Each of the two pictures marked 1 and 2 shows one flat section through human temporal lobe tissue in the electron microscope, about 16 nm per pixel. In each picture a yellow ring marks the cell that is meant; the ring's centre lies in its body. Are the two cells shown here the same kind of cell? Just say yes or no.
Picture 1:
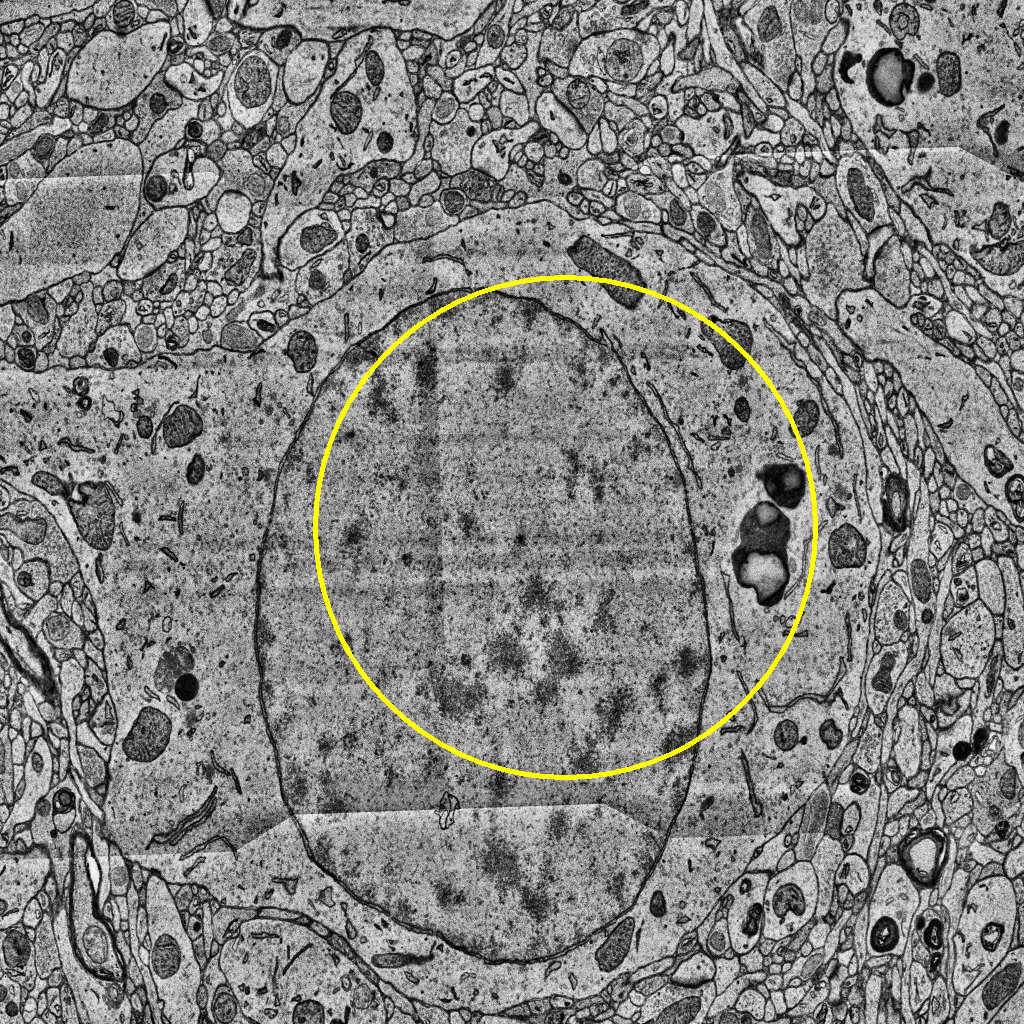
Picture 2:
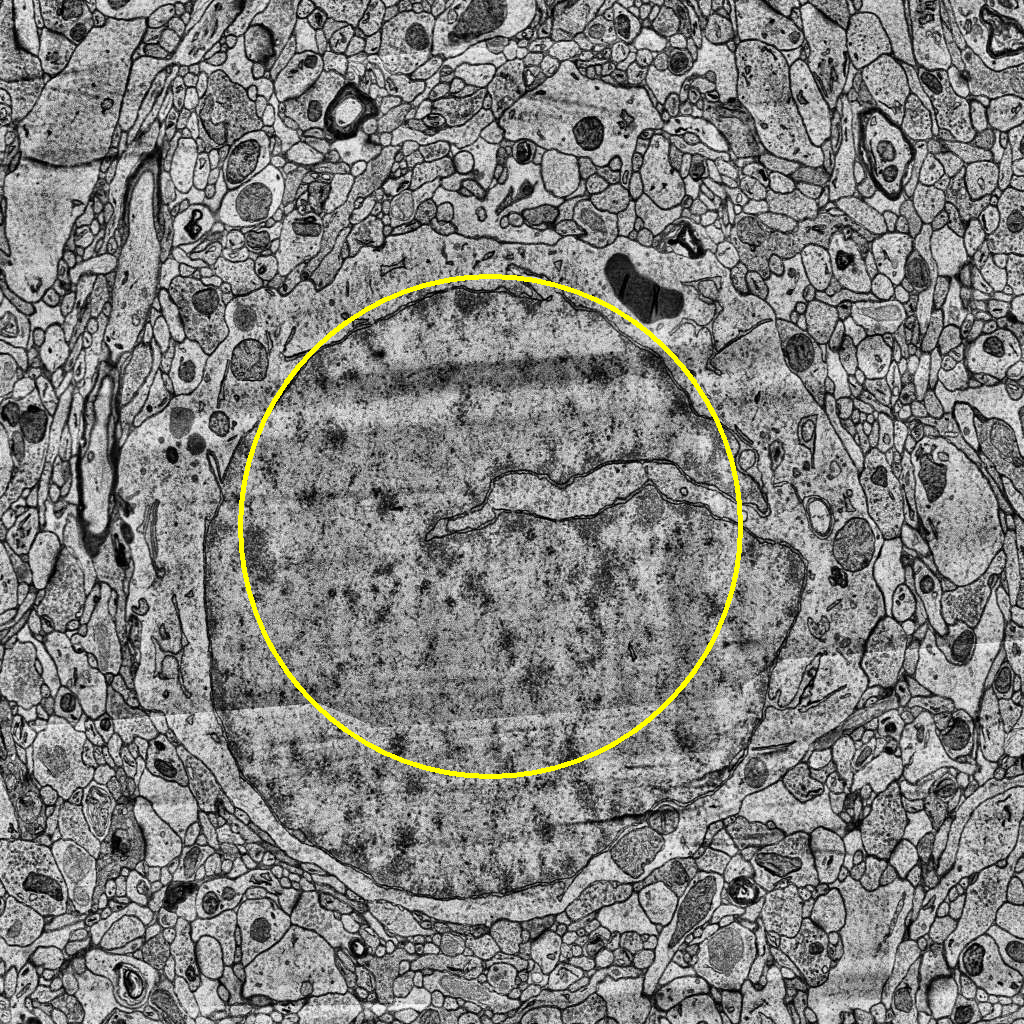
no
